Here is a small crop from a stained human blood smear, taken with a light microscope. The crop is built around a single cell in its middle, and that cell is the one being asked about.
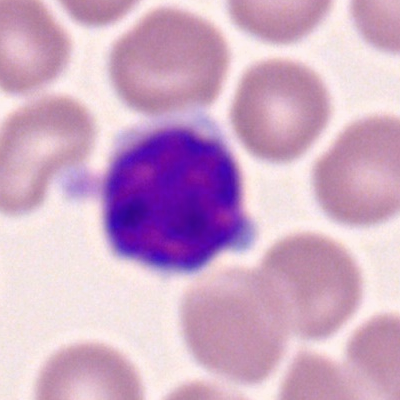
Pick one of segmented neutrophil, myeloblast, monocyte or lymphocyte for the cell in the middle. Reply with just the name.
lymphocyte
